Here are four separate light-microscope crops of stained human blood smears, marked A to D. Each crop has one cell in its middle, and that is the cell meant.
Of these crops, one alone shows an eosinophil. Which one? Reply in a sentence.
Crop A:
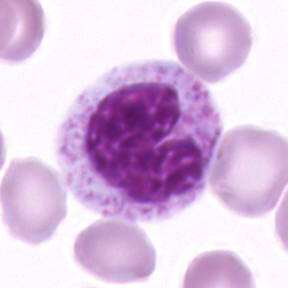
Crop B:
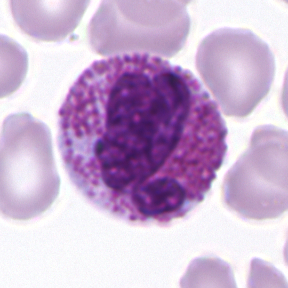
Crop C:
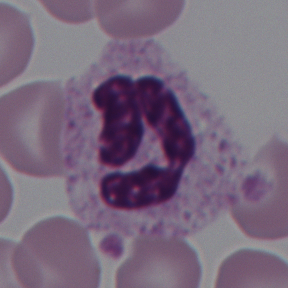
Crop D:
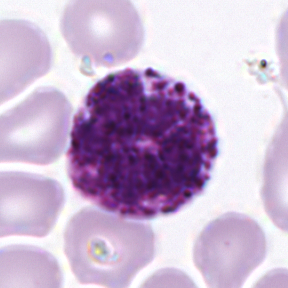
Of the labeled crops, the one with an eosinophil is crop B.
